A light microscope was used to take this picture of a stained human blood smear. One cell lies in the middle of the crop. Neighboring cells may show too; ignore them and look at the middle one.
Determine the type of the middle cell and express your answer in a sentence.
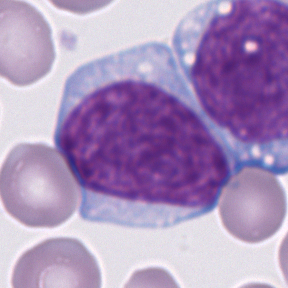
The cell centred in this crop is categorized as a myeloblast.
